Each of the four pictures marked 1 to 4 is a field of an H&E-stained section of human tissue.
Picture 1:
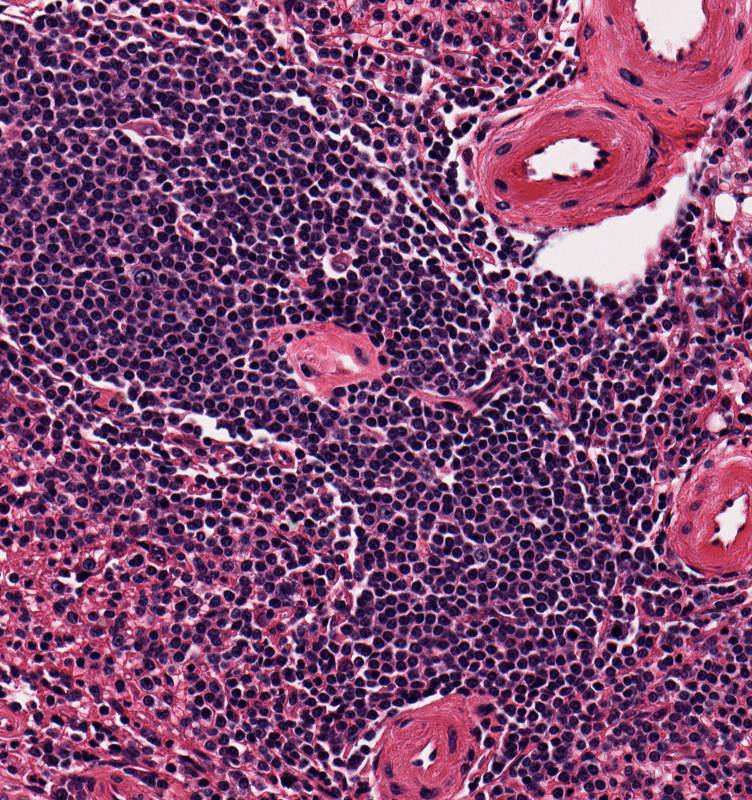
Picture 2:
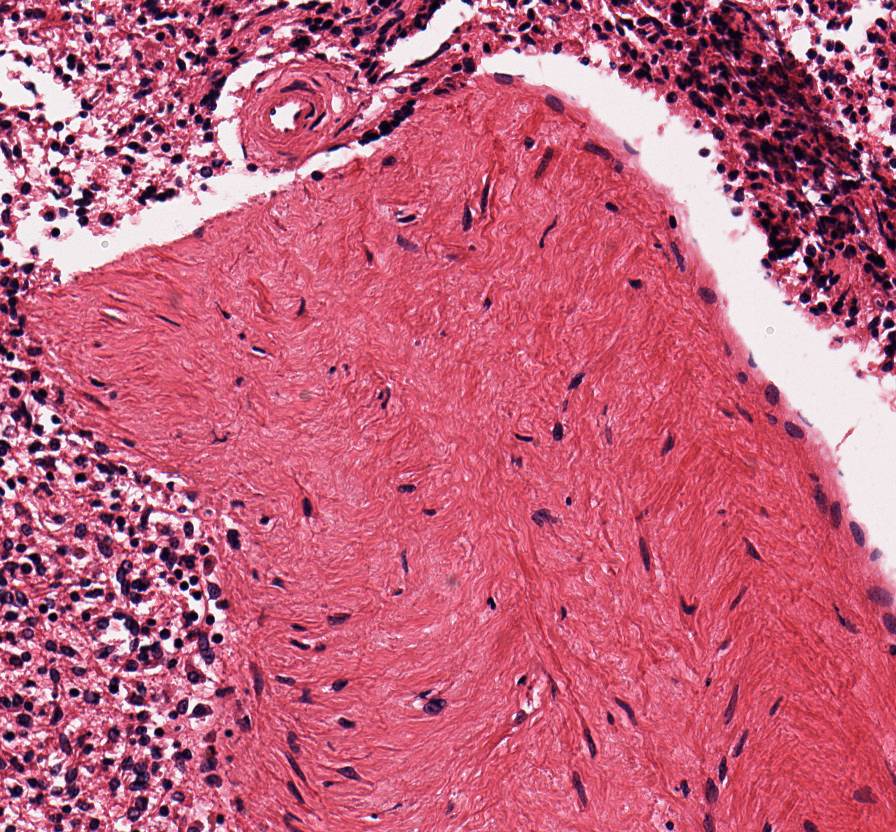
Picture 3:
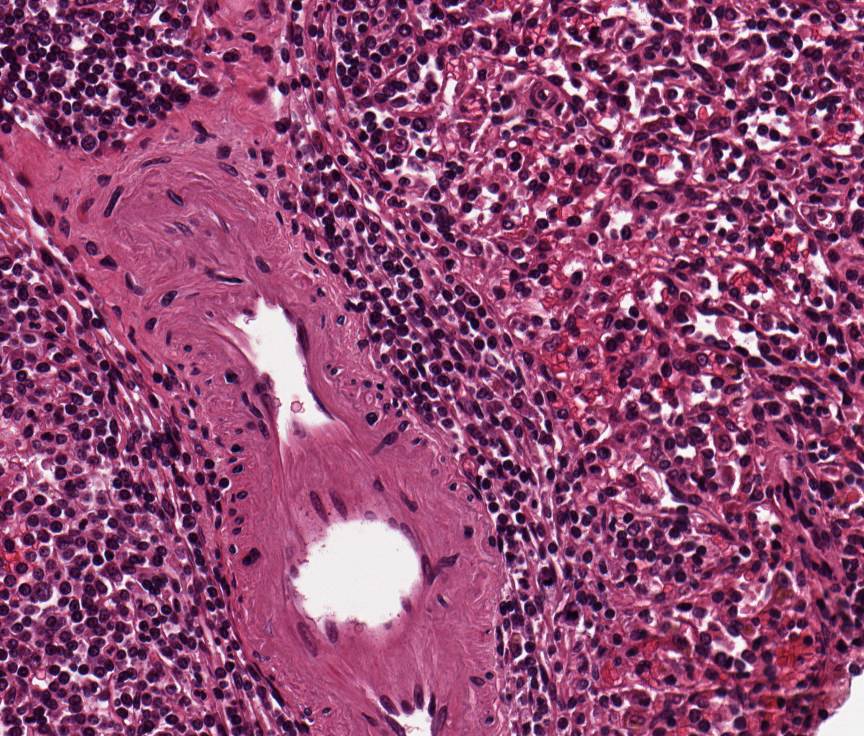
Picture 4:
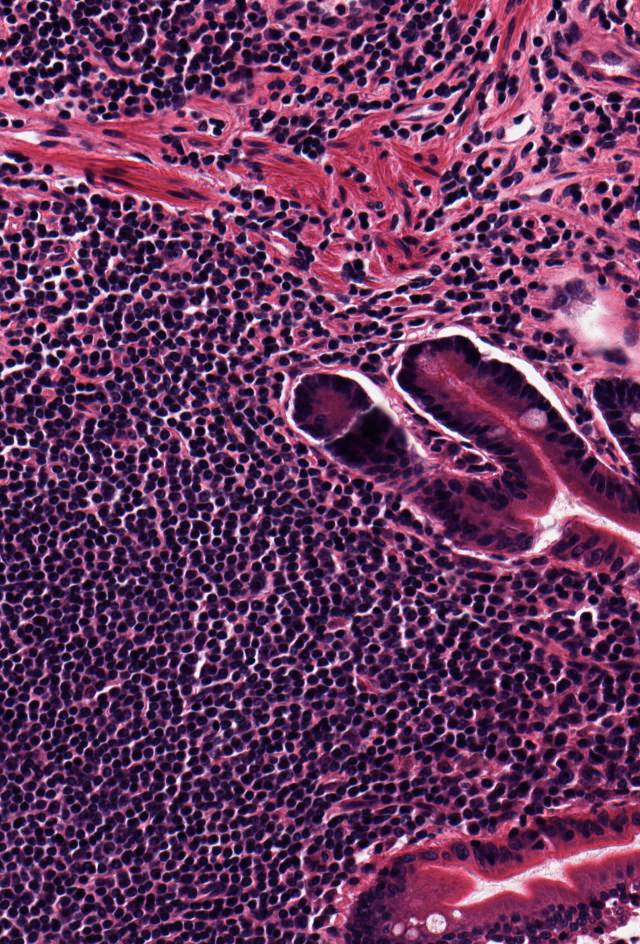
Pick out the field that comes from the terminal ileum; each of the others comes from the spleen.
4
